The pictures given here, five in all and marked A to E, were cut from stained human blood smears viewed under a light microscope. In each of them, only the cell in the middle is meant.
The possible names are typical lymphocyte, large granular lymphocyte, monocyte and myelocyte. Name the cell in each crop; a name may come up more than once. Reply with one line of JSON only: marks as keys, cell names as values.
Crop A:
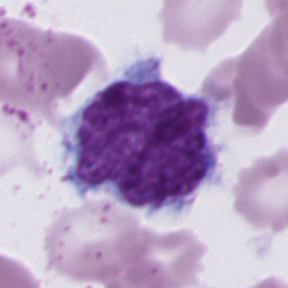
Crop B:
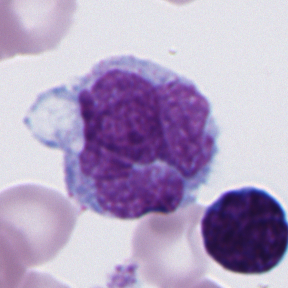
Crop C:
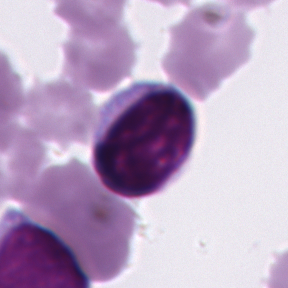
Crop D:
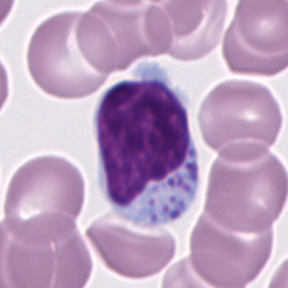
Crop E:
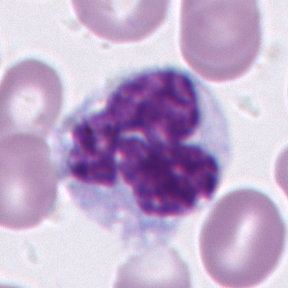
{"A": "monocyte", "B": "monocyte", "C": "typical lymphocyte", "D": "large granular lymphocyte", "E": "monocyte"}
